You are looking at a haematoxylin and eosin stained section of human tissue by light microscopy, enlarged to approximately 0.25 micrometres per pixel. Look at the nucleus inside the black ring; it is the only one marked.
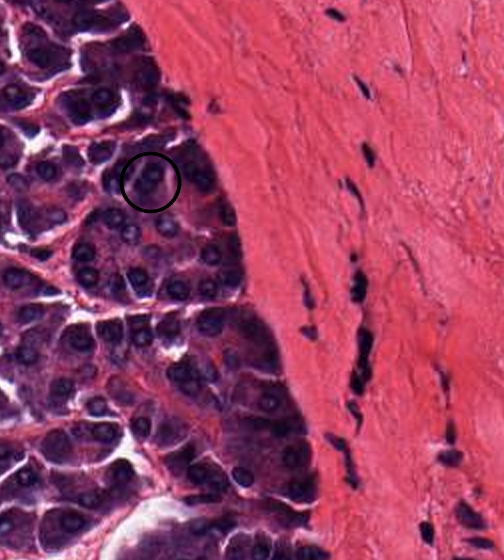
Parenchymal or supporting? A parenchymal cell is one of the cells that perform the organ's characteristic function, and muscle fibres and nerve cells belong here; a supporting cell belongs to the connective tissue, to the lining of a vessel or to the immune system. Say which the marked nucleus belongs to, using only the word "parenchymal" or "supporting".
parenchymal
